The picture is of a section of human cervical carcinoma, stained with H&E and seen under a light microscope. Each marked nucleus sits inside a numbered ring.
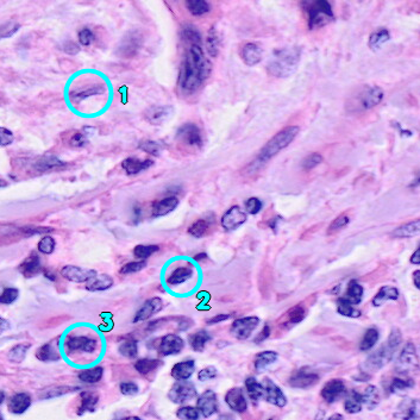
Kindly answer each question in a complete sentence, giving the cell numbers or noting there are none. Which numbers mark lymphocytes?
The cells numbered 2 and 3 are of one kind: lymphocytes.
